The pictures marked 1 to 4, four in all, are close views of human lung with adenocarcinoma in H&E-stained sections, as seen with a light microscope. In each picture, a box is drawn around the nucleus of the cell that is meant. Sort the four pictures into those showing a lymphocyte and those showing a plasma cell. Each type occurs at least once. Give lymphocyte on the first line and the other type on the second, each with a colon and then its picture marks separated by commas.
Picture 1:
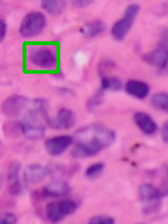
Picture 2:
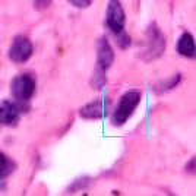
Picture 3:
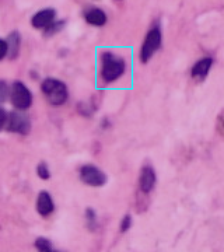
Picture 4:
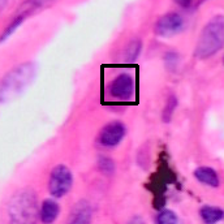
lymphocyte: 2
plasma cell: 1, 3, 4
